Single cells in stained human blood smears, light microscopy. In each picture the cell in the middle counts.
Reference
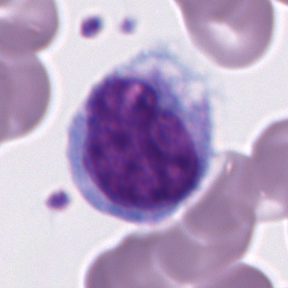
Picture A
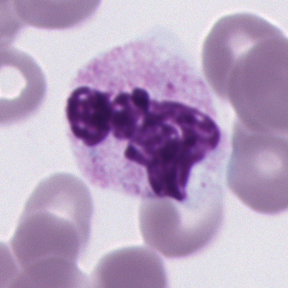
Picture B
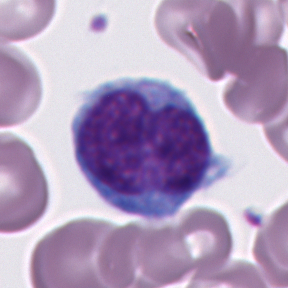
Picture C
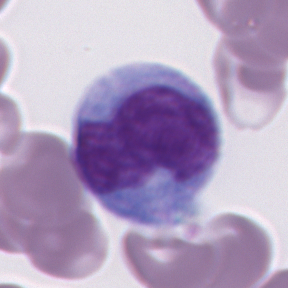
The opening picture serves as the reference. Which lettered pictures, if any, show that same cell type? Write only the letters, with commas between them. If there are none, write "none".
B, C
